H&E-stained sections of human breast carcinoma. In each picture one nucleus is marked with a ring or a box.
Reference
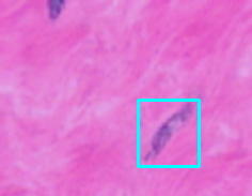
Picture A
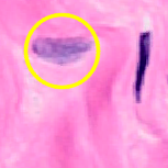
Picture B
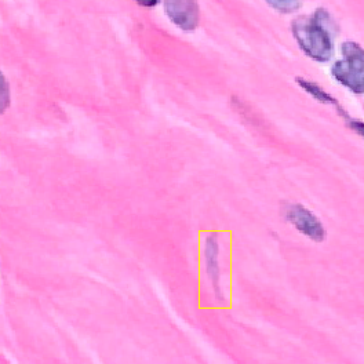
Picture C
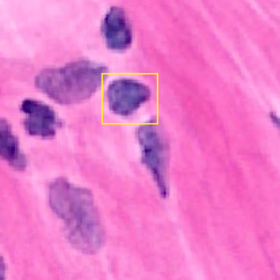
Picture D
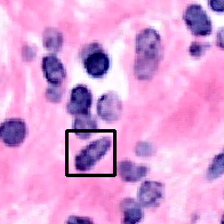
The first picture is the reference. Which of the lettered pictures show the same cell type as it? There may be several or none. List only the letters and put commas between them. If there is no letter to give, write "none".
A, B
